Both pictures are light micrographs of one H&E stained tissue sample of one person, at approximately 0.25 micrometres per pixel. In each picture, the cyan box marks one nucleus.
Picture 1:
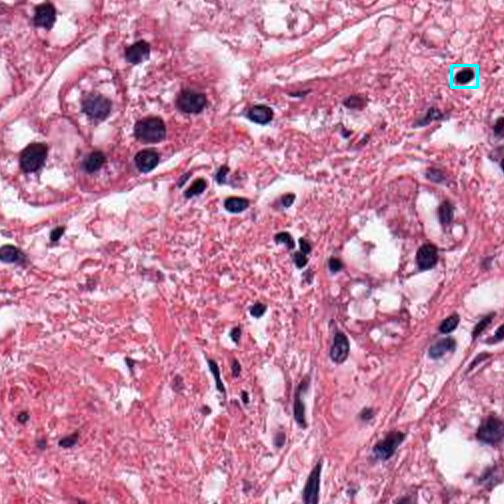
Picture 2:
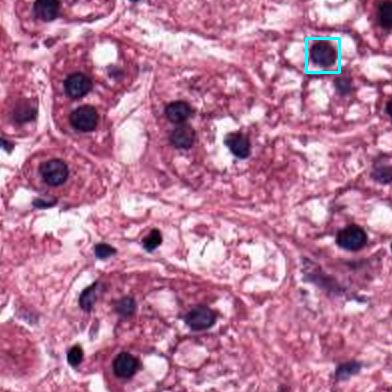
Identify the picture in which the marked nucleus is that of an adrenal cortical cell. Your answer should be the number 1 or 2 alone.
2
